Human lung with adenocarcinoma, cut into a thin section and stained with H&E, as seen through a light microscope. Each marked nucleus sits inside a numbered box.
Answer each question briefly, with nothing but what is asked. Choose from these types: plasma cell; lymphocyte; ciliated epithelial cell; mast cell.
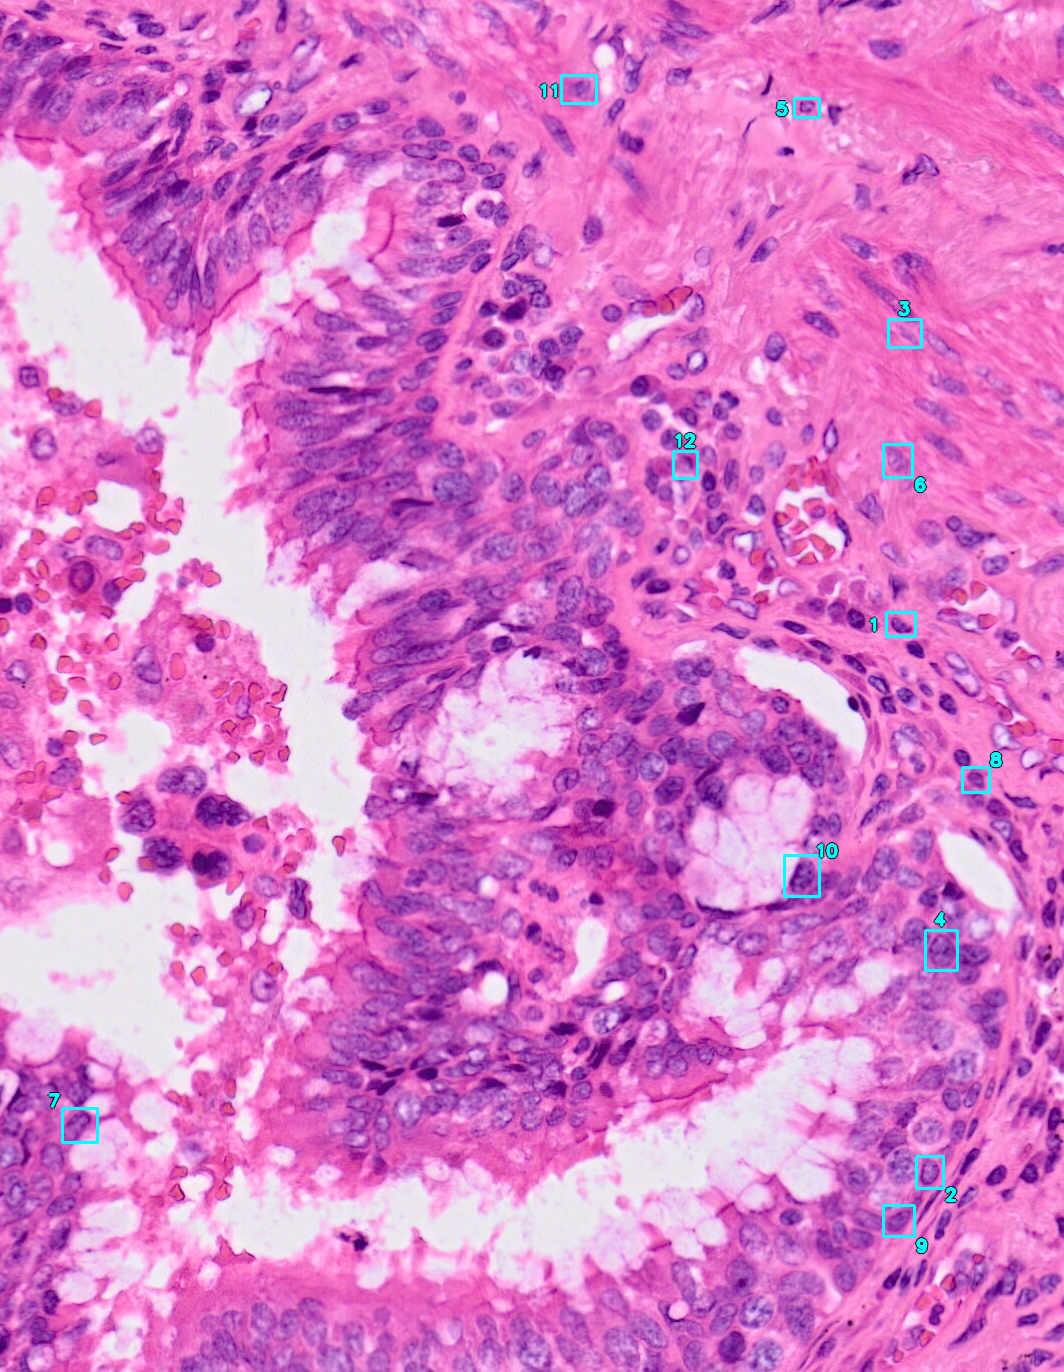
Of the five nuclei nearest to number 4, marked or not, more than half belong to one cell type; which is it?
ciliated epithelial cell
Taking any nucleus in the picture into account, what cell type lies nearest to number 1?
lymphocyte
